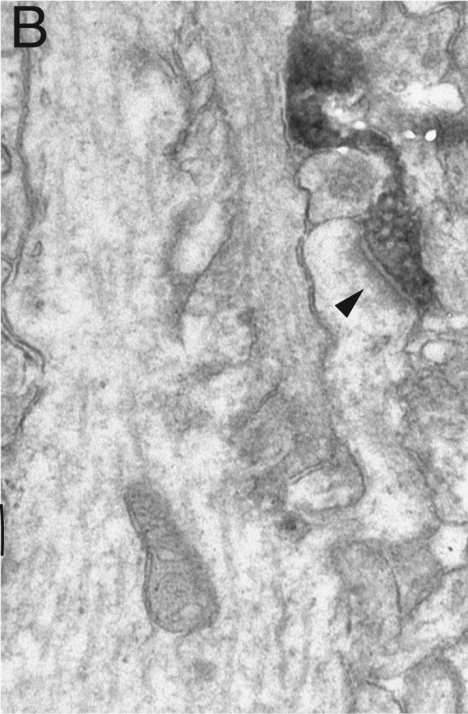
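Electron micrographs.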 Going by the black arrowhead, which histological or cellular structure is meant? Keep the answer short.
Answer: Synapses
